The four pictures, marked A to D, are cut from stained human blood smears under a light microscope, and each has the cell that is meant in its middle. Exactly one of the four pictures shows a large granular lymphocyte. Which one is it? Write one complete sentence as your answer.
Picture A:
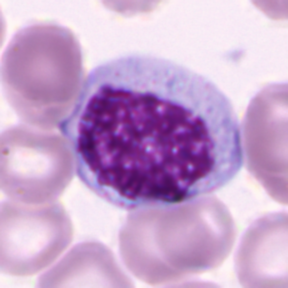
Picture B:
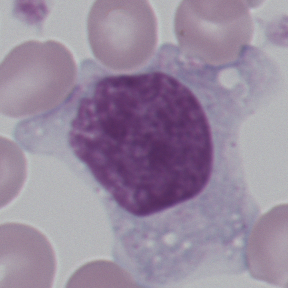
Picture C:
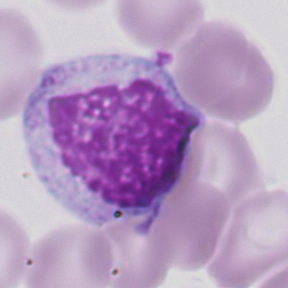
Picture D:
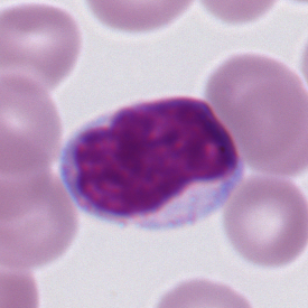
Picture D is the one that shows the large granular lymphocyte.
